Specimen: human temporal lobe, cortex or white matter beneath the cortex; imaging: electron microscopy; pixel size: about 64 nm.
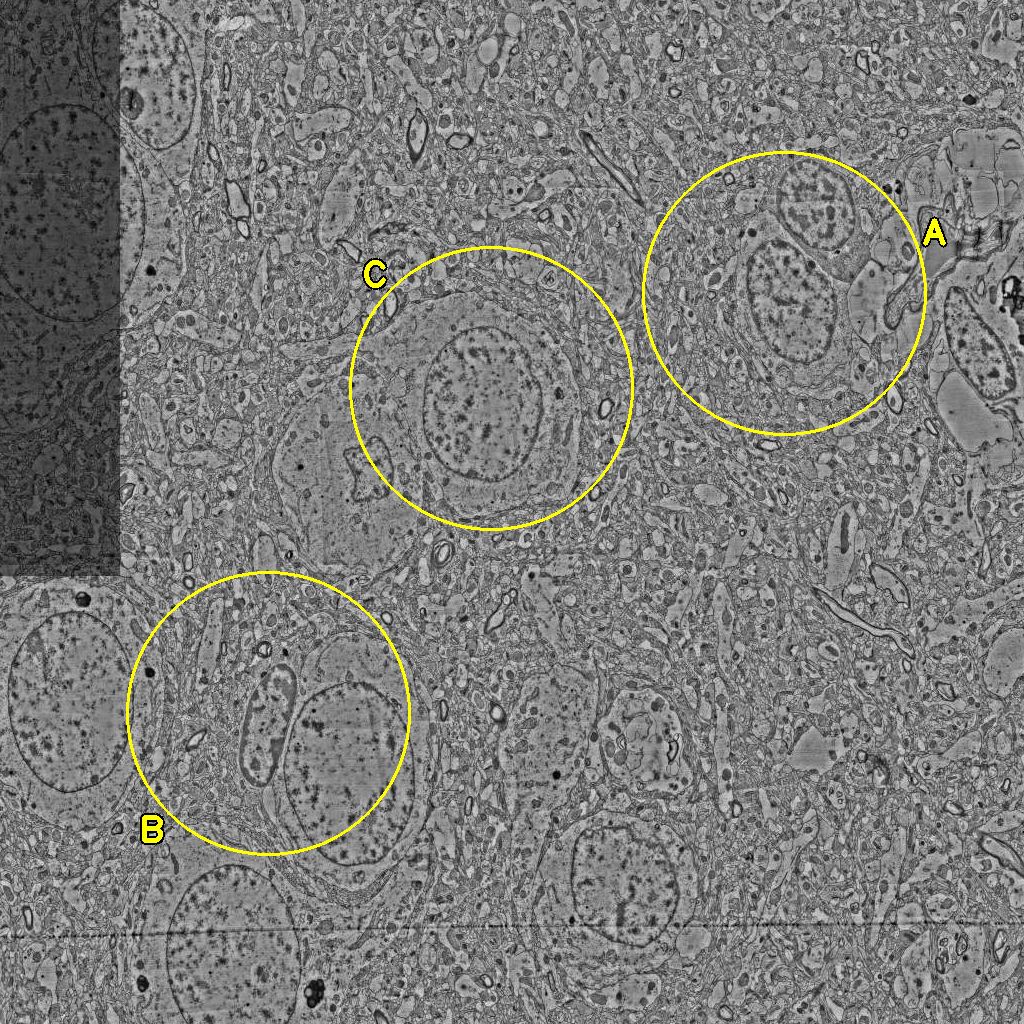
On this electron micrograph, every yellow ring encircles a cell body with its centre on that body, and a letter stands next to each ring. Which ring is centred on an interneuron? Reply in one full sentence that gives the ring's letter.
Ring A is the ring that has the cell asked for in its centre.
